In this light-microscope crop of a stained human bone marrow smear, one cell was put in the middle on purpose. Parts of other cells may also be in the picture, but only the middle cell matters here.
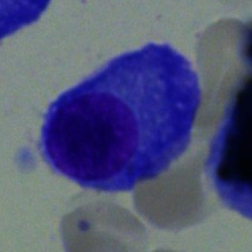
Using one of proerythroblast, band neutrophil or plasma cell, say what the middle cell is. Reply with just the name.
plasma cell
